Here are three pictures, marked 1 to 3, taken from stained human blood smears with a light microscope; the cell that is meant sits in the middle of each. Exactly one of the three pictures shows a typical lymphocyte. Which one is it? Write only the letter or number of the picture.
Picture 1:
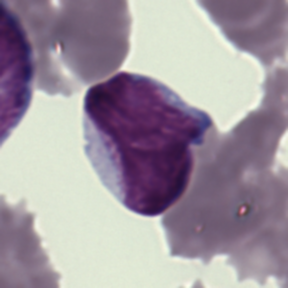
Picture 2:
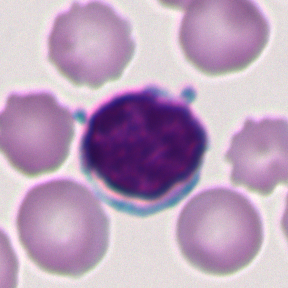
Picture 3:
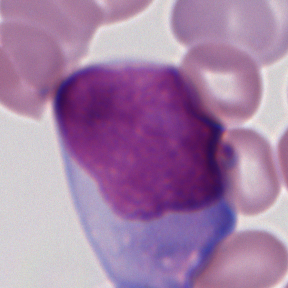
2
